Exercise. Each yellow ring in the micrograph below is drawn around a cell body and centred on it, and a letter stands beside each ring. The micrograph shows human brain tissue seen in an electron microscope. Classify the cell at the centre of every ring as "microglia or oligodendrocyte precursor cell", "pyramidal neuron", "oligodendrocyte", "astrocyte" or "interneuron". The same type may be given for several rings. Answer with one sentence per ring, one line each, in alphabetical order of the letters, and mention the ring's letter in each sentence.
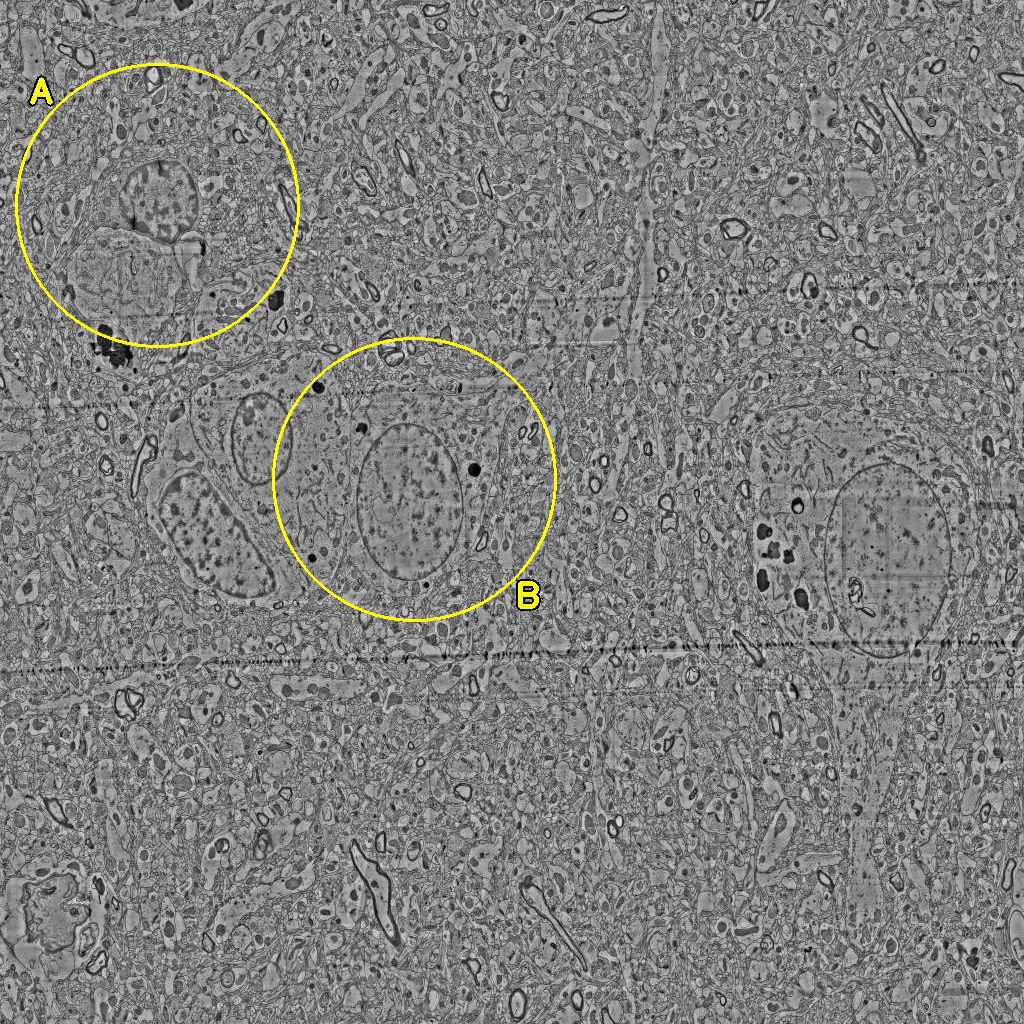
In ring A, the central cell is an oligodendrocyte.
In ring B, the central cell is a pyramidal neuron.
